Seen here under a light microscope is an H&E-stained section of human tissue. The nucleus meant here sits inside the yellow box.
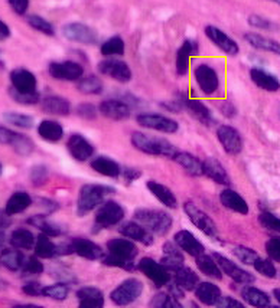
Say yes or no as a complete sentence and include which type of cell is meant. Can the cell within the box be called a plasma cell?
Yes, the cell within the box is, by its type, a plasma cell.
